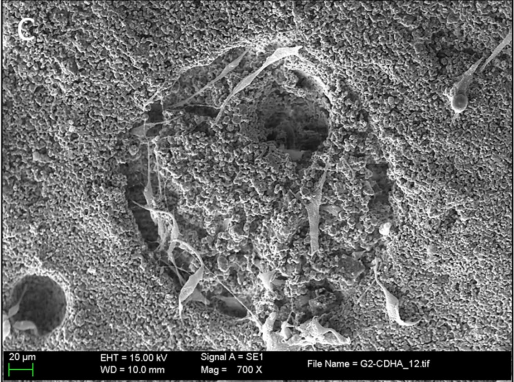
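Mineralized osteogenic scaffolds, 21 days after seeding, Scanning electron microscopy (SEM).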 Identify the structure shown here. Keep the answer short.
A pore.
